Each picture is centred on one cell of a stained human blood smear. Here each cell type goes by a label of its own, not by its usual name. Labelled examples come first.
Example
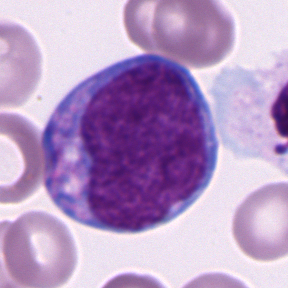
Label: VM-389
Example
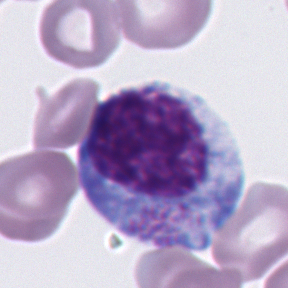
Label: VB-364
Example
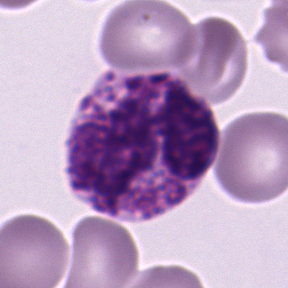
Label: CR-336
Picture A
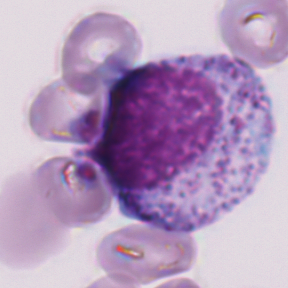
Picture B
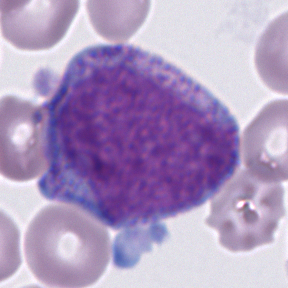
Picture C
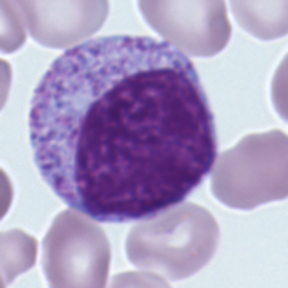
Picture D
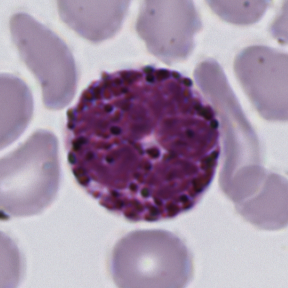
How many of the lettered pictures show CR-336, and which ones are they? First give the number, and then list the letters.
1: D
